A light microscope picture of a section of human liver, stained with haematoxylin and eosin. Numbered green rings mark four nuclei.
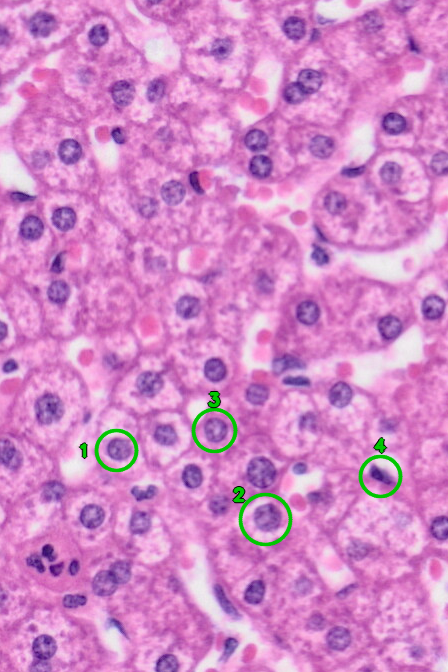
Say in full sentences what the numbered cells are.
Cells 1, 2 and 3 are hepatocytes. Cell 4 is an endothelial cell.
